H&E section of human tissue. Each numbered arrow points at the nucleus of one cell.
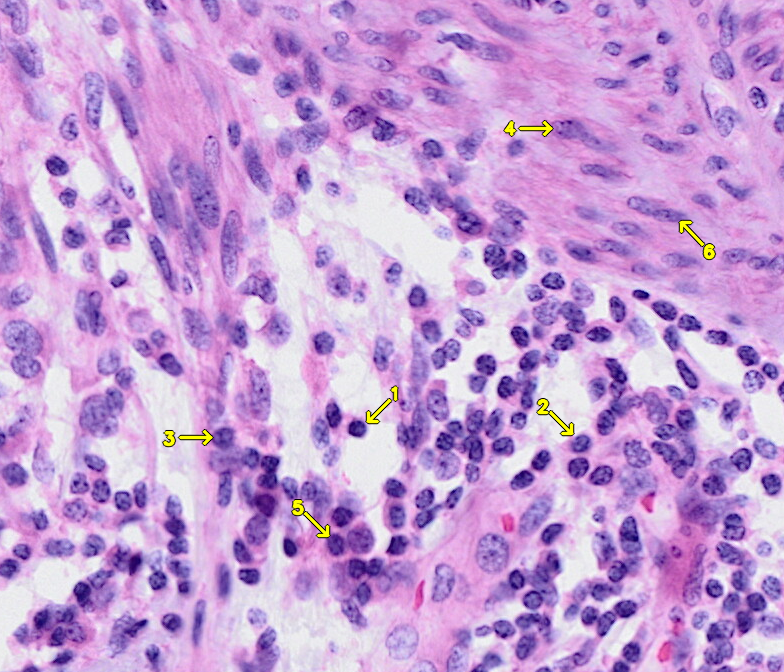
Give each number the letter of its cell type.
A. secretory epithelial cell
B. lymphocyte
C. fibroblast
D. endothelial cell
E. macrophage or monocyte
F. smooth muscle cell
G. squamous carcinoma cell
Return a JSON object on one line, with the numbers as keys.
{"1": "B", "2": "B", "3": "B", "4": "F", "5": "B", "6": "F"}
